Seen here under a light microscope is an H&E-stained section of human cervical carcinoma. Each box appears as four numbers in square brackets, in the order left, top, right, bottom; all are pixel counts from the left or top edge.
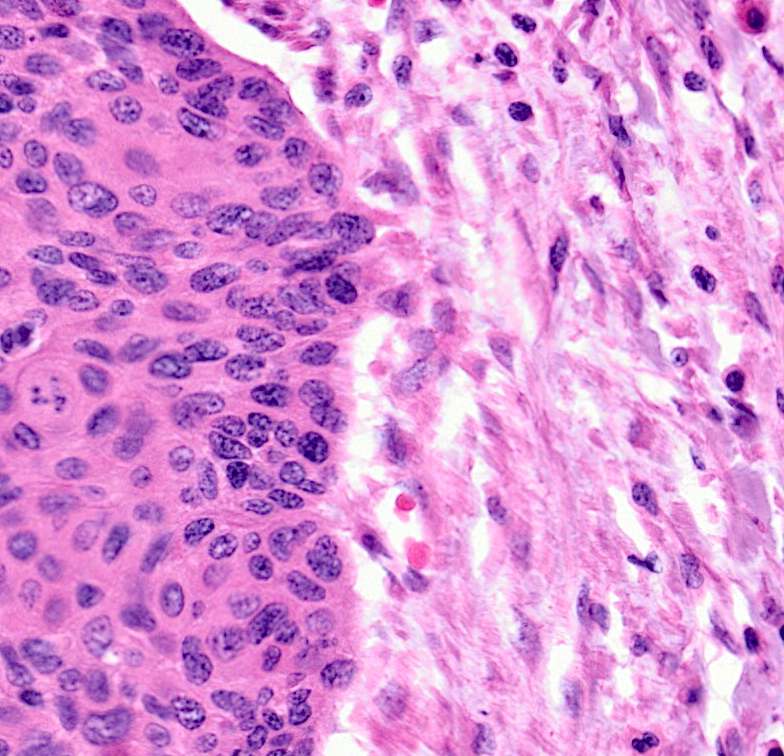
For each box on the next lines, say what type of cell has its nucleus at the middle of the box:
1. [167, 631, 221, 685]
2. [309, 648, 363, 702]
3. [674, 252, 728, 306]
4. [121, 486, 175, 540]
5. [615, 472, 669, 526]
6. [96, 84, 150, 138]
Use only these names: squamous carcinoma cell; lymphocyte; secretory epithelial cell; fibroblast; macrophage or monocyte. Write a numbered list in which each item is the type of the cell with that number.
1. squamous carcinoma cell
2. squamous carcinoma cell
3. lymphocyte
4. squamous carcinoma cell
5. macrophage or monocyte
6. squamous carcinoma cell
